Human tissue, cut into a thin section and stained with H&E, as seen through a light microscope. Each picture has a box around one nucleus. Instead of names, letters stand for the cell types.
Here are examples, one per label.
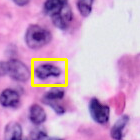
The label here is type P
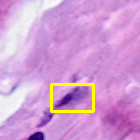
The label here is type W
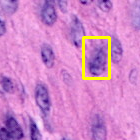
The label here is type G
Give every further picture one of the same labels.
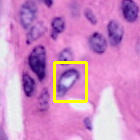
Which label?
type G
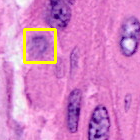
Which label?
type G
